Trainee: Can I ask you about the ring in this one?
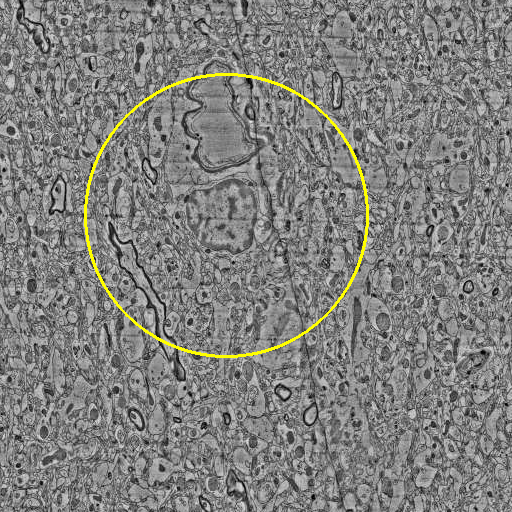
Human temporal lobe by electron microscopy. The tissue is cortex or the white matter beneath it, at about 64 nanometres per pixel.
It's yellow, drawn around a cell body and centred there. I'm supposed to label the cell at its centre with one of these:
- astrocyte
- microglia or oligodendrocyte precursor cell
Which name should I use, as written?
microglia or oligodendrocyte precursor cell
